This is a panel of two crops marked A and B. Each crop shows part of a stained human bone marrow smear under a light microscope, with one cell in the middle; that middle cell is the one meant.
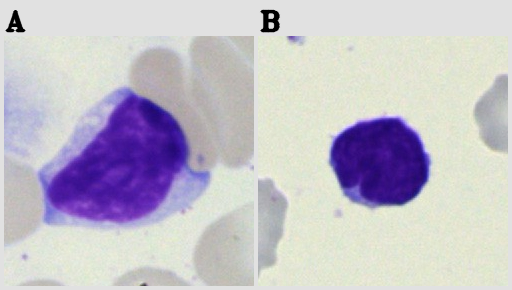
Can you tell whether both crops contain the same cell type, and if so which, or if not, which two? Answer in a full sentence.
Yes, the cells in both crops are lymphocytes.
